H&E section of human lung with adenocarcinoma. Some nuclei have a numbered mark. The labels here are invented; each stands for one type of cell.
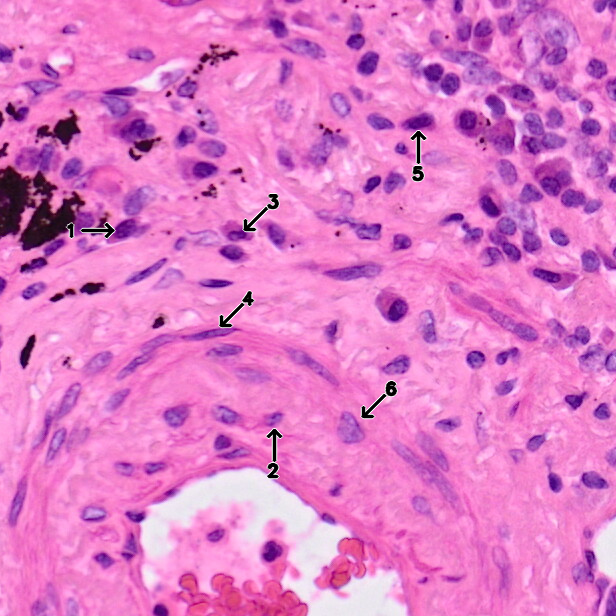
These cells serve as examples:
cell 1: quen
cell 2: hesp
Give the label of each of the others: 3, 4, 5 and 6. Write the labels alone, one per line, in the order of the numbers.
quen
hesp
quen
hesp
